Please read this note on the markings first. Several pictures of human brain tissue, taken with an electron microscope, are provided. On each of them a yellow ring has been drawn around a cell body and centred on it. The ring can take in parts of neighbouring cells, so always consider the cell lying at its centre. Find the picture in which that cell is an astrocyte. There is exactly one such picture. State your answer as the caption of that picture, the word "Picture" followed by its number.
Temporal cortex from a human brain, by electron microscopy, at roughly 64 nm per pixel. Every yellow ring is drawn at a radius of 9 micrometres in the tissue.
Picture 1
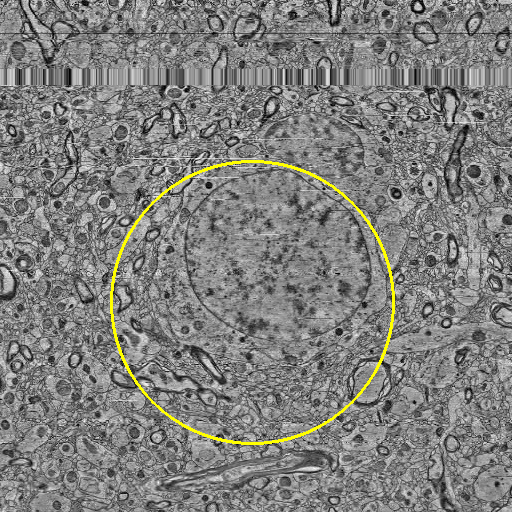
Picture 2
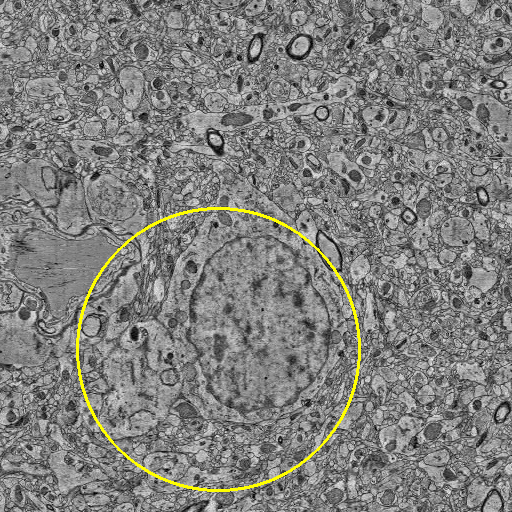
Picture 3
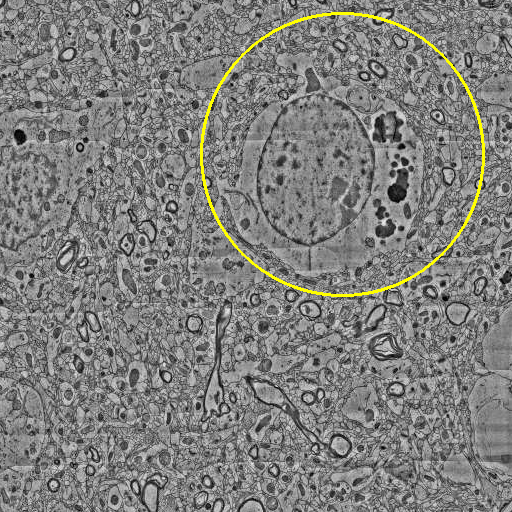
Picture 3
